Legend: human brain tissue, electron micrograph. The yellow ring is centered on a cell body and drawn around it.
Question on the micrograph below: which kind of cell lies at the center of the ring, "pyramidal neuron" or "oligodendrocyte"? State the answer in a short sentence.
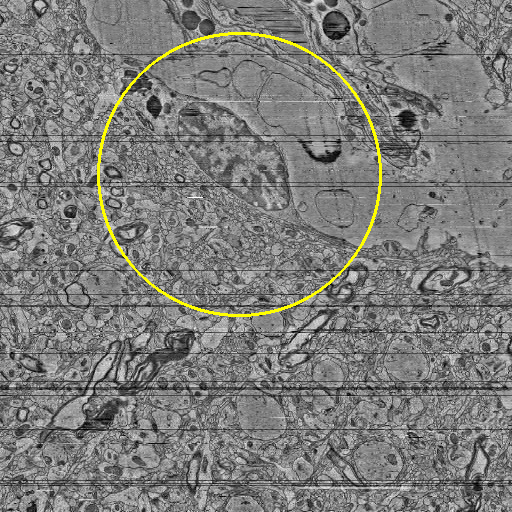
At the center of the ring lies an oligodendrocyte.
